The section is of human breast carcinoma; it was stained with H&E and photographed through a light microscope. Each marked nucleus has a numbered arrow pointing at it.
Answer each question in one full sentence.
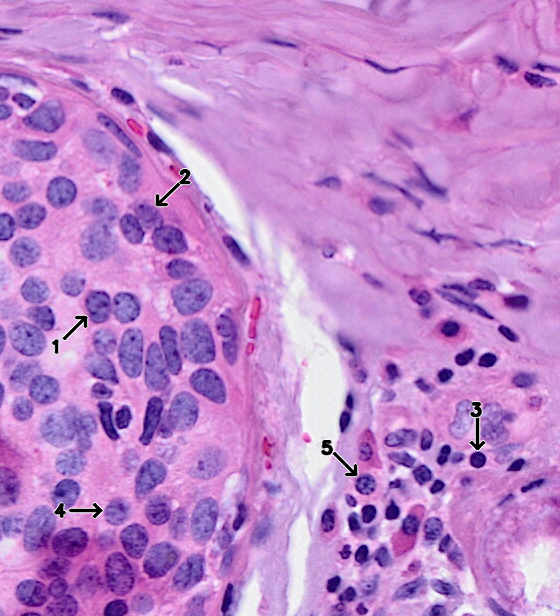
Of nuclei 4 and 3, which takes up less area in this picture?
With nucleus 4 about 2.5 times its size, nucleus 3 is the smaller of the two.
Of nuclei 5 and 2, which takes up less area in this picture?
It is nucleus 5; nucleus 2 has about 3 times its area.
